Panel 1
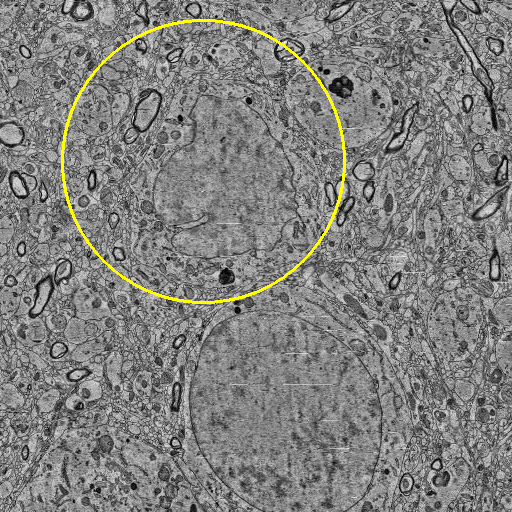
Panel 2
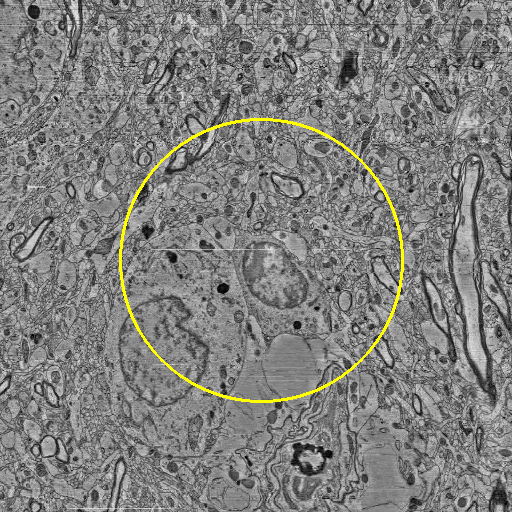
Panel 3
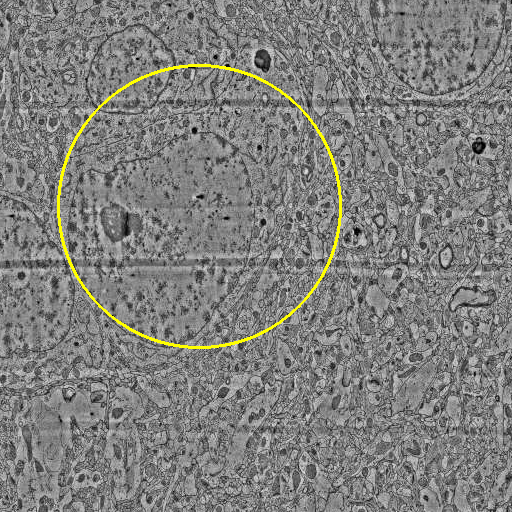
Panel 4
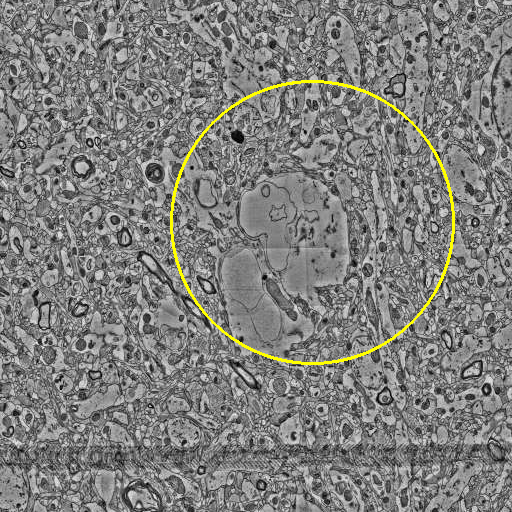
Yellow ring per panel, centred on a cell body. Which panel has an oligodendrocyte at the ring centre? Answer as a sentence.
Panel 2 shows it at the ring centre.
